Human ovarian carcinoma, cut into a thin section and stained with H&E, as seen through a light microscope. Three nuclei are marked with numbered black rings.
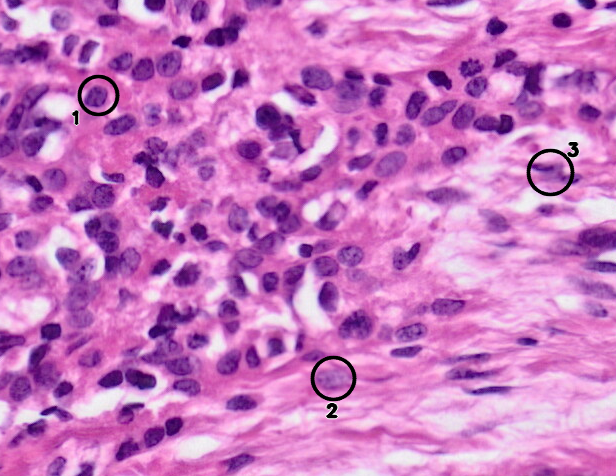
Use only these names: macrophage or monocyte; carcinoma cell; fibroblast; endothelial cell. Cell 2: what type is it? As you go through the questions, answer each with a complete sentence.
The cell referenced by the number 2 is an endothelial cell in this field.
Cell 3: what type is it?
Cell 3 in the field of view is a fibroblast.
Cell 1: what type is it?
Cell 1 should be recorded as a macrophage or monocyte.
